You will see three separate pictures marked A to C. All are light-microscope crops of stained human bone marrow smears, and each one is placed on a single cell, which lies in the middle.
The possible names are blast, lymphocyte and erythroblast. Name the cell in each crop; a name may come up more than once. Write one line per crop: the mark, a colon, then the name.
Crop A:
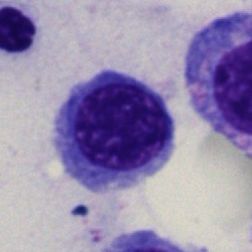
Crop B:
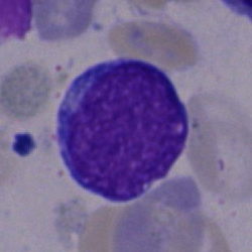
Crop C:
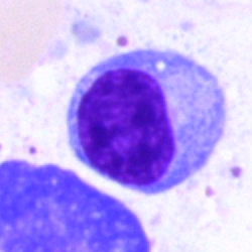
A: erythroblast
B: blast
C: lymphocyte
